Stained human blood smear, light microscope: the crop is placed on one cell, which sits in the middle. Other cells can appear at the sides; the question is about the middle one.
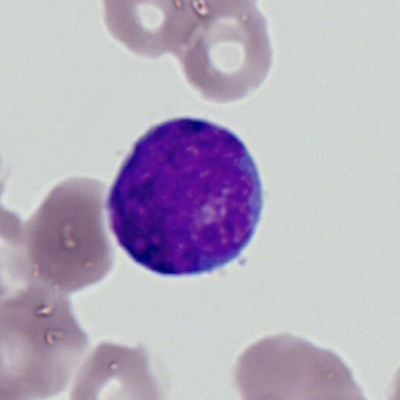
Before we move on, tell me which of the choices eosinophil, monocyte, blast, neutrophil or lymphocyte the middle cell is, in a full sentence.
In the central position of this crop, the cell is a blast.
